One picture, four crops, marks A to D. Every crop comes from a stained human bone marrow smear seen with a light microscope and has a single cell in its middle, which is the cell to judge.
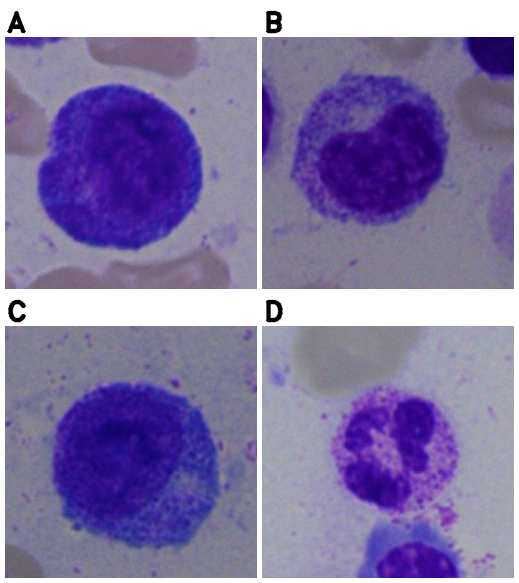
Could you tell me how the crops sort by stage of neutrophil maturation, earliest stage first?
A, C, B, D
